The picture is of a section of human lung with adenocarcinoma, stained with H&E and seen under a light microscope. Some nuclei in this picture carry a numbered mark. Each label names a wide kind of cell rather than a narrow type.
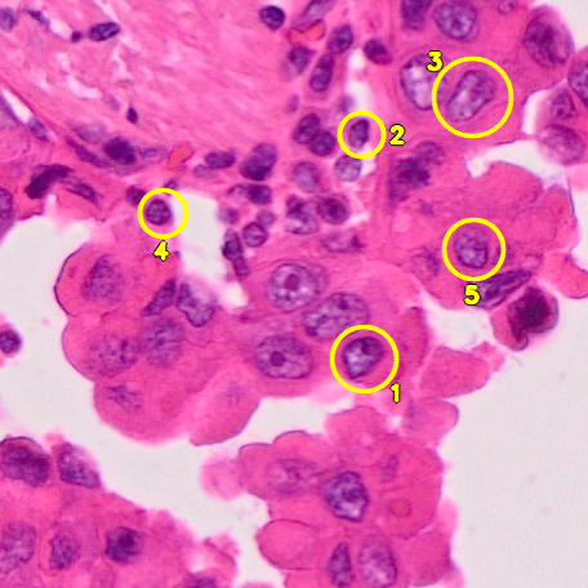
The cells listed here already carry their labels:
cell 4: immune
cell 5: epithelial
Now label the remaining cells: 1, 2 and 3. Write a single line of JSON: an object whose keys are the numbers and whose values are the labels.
{"1": "epithelial", "2": "immune", "3": "epithelial"}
